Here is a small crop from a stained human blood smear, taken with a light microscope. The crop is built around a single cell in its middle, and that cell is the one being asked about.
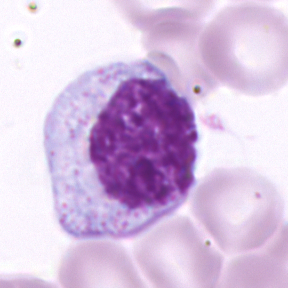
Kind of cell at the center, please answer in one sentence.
For this crop, the cell in the middle is a myelocyte.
